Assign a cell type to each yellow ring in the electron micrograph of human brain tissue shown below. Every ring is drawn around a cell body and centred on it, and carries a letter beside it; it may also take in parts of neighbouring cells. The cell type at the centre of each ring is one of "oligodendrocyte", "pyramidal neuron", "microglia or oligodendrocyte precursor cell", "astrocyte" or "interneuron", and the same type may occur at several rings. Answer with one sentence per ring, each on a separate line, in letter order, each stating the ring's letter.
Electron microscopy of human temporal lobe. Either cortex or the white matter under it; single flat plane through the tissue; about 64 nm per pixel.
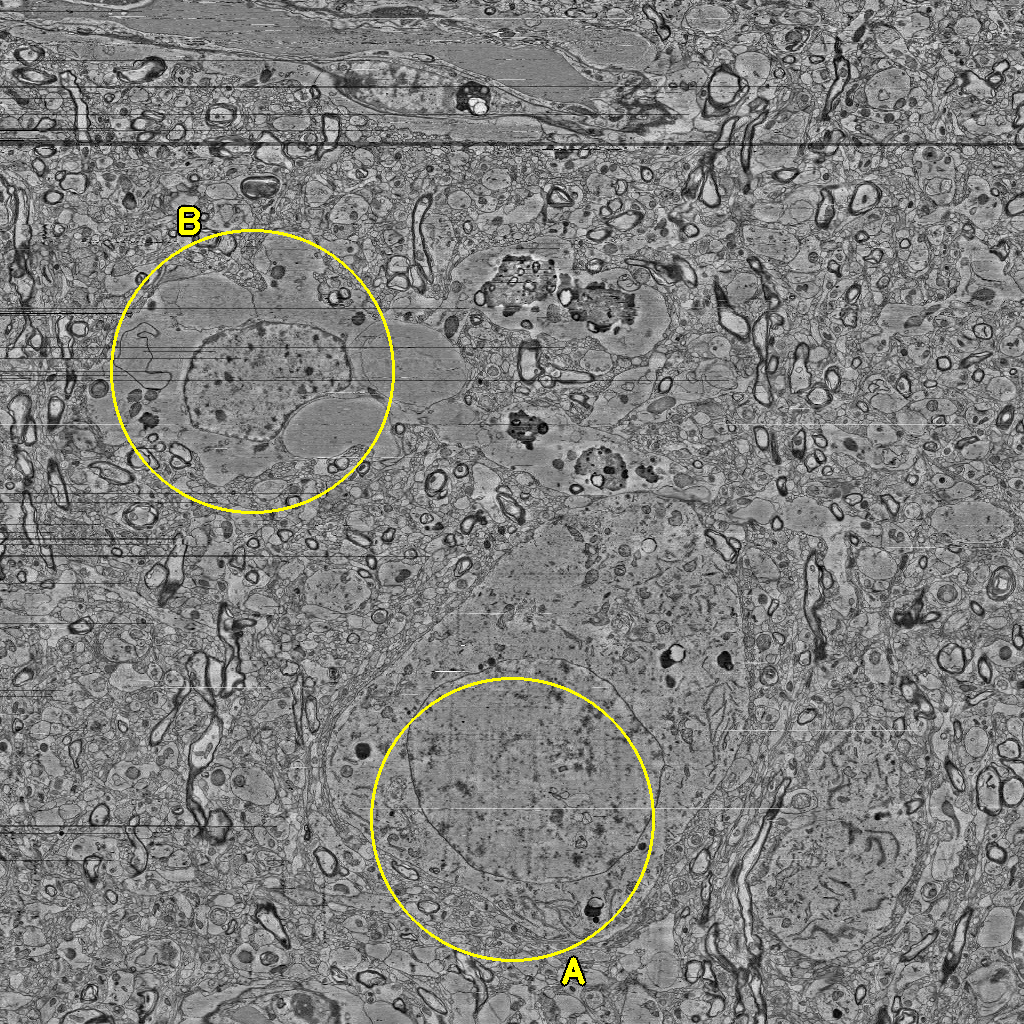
The cell at ring A's centre is a pyramidal neuron.
The cell at ring B's centre is an astrocyte.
